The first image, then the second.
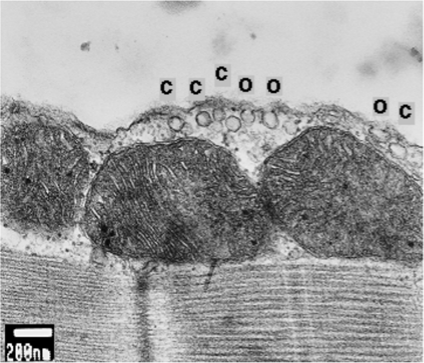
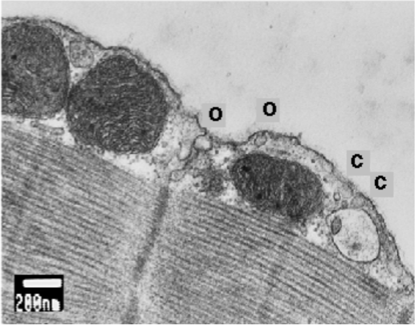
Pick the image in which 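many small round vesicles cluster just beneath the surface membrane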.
The first image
